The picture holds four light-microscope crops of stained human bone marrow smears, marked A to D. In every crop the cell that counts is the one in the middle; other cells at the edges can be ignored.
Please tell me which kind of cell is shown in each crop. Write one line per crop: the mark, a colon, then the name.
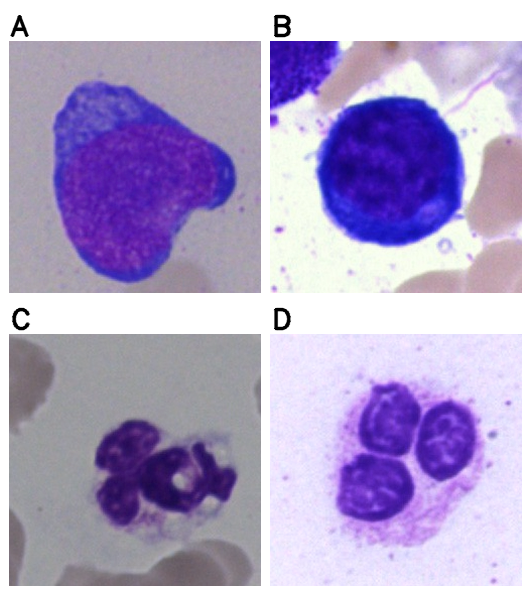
A: proerythroblast
B: proerythroblast
C: segmented neutrophil
D: segmented neutrophil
